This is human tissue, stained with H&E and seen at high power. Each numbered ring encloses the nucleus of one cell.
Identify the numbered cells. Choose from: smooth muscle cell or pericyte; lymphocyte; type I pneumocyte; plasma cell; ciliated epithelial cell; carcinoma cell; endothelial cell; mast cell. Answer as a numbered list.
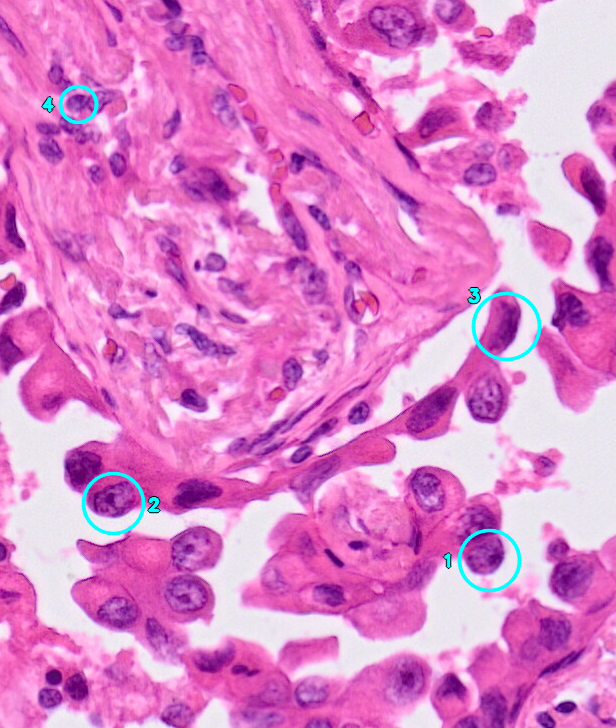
1. carcinoma cell
2. carcinoma cell
3. carcinoma cell
4. lymphocyte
